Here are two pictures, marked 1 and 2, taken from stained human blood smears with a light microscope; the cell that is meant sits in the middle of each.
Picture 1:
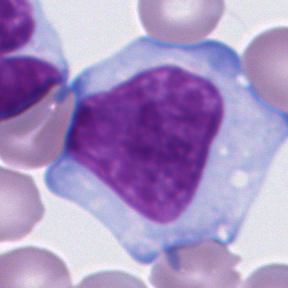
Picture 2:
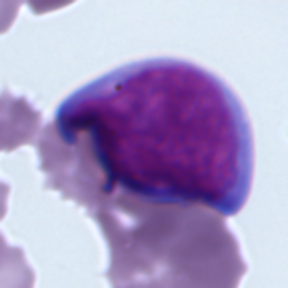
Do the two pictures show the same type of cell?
yes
